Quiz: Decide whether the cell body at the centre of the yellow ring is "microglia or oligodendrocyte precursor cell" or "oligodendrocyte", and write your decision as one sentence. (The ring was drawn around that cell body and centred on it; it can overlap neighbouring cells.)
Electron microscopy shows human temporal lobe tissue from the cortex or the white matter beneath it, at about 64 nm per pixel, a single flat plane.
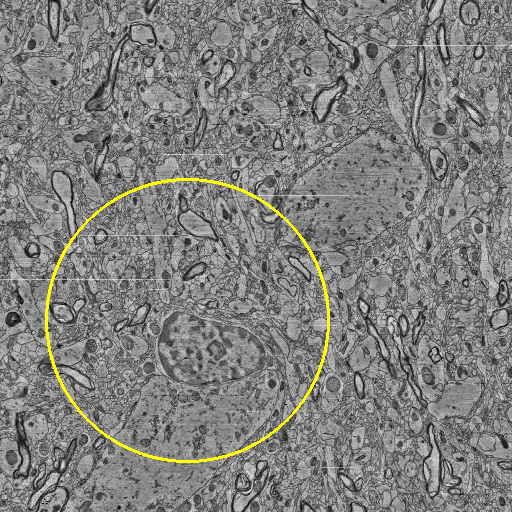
The cell the ring is centred on is a microglial cell or oligodendrocyte precursor cell.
